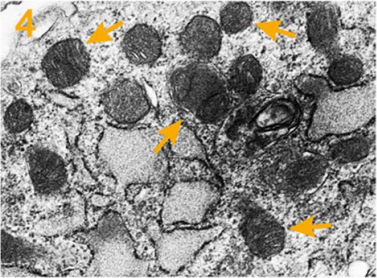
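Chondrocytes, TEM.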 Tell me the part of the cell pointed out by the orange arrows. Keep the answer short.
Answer: Mitochondrion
